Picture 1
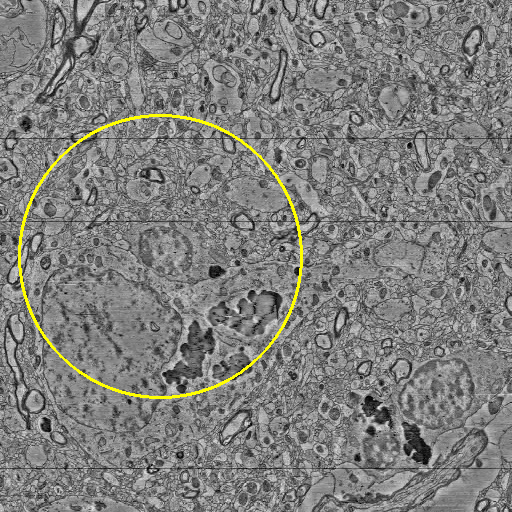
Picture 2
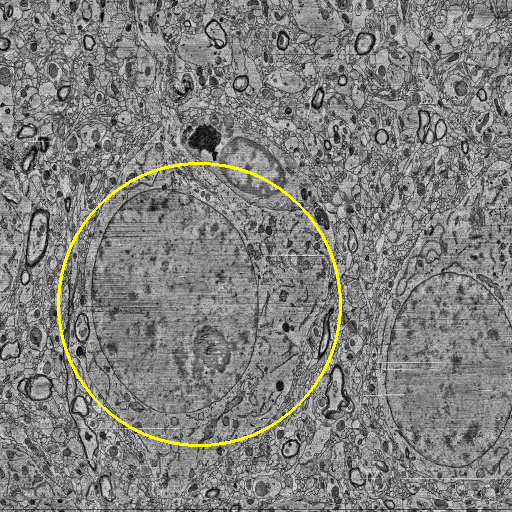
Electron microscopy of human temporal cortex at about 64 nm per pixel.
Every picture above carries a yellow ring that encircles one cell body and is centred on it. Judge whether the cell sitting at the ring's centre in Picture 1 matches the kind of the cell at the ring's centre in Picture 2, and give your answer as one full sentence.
No, the cells centred in the rings of Pictures 1 and 2 belong to two kinds.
